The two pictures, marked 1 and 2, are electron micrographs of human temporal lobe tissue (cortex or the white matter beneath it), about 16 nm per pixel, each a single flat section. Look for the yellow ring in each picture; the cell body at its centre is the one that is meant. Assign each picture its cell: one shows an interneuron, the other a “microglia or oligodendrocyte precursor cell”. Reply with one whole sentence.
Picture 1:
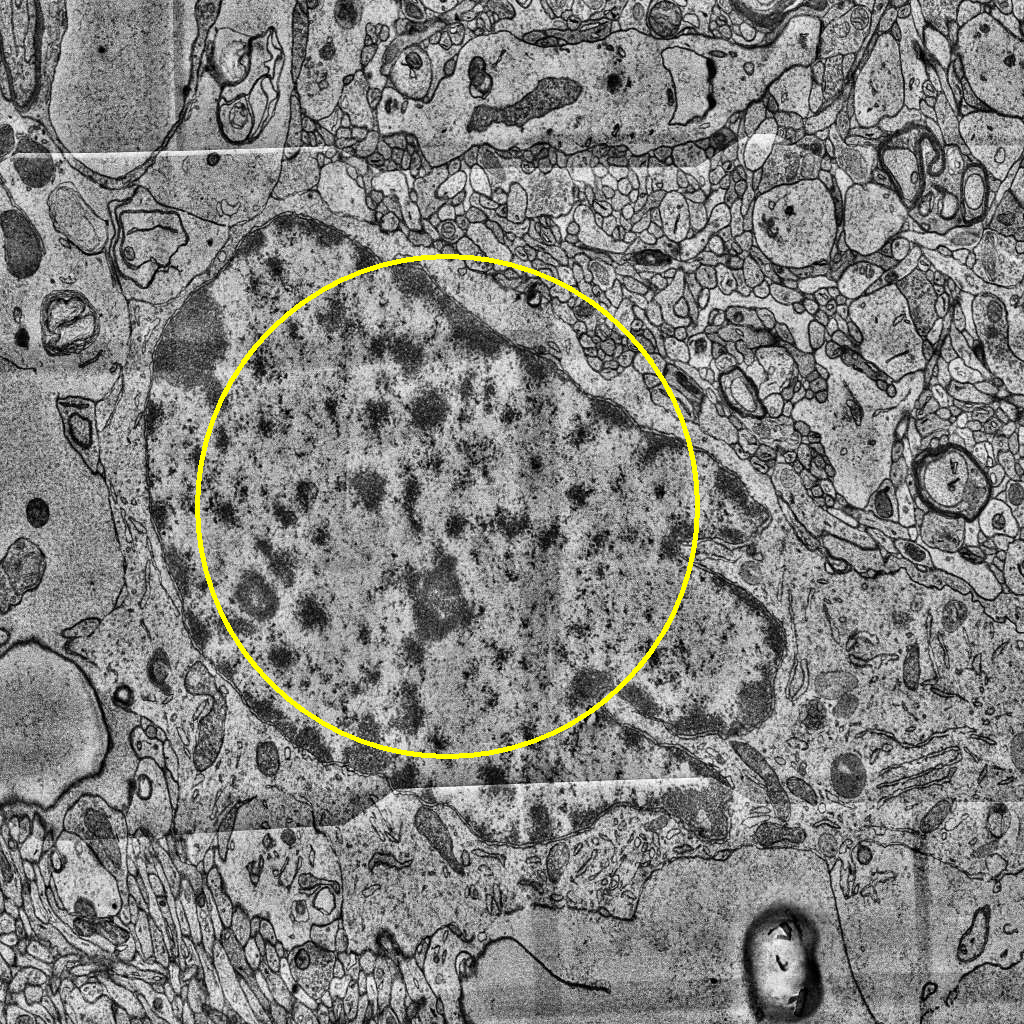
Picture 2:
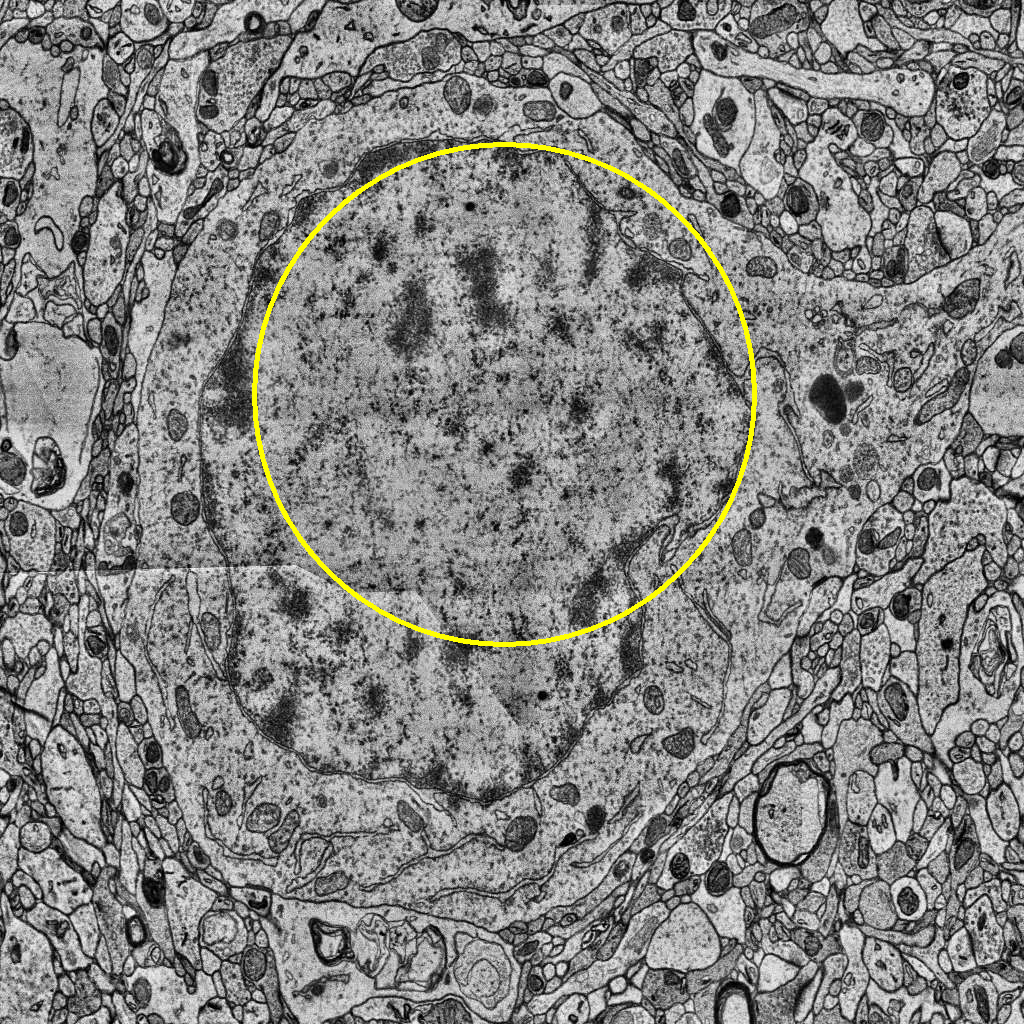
It is picture 1 that shows a “microglia or oligodendrocyte precursor cell”, and picture 2 that shows an interneuron.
